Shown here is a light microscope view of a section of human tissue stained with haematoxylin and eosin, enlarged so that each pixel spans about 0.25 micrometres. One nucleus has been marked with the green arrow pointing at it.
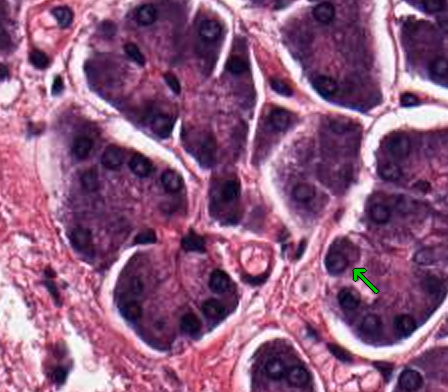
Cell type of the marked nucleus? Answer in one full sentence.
The nucleus carrying the mark is the nucleus of a pancreatic acinar cell.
